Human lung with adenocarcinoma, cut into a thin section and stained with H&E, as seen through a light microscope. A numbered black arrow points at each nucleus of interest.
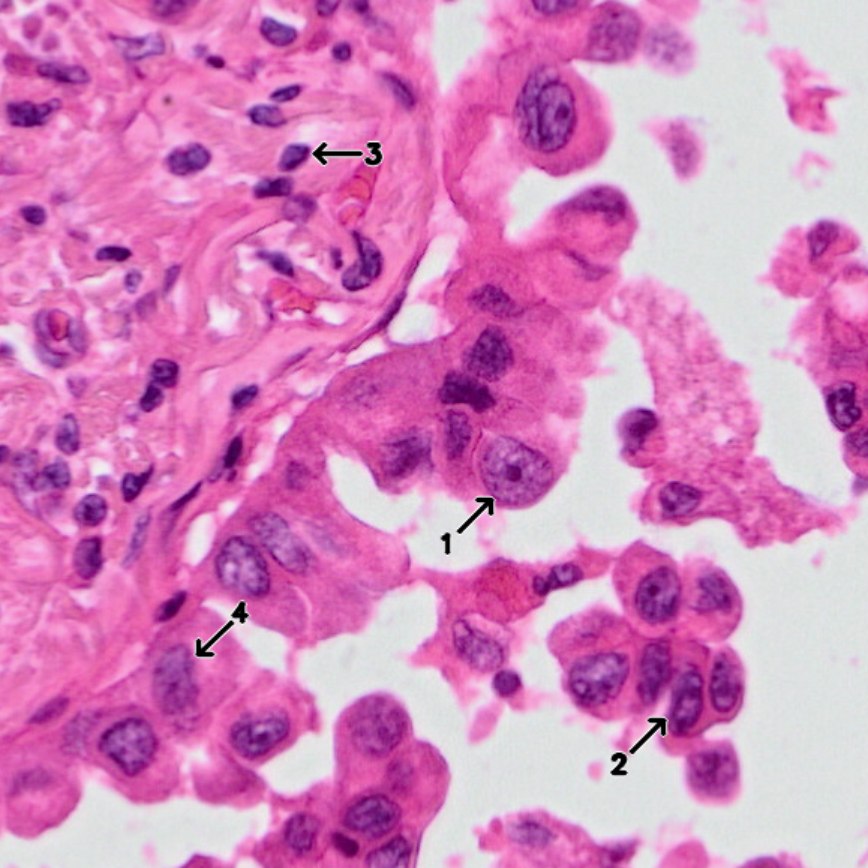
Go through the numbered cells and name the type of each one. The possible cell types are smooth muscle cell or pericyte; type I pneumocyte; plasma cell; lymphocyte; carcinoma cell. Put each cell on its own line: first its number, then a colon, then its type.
1: carcinoma cell
2: carcinoma cell
3: lymphocyte
4: carcinoma cell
